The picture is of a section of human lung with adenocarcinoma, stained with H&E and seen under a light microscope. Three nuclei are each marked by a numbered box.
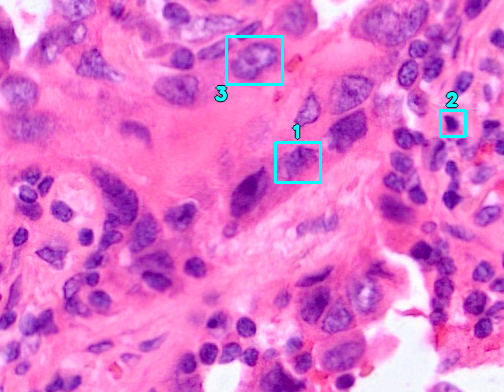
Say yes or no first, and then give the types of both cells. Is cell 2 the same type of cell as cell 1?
No, cell 2 is a lymphocyte and cell 1 is a carcinoma cell.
